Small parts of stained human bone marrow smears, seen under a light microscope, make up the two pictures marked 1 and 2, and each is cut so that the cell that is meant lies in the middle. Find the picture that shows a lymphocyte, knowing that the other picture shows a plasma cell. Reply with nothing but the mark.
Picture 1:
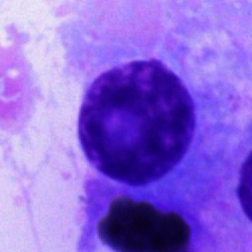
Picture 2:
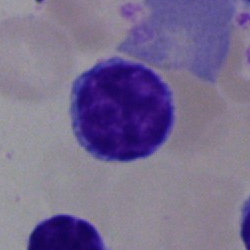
2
